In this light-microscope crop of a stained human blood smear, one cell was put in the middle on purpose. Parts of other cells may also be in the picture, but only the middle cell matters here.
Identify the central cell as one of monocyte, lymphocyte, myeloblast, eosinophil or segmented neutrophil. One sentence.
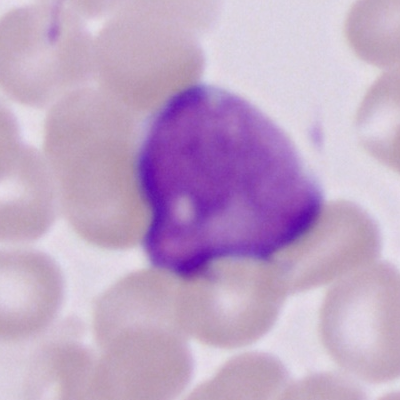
The cell under consideration, at the middle of the crop, is a myeloblast.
